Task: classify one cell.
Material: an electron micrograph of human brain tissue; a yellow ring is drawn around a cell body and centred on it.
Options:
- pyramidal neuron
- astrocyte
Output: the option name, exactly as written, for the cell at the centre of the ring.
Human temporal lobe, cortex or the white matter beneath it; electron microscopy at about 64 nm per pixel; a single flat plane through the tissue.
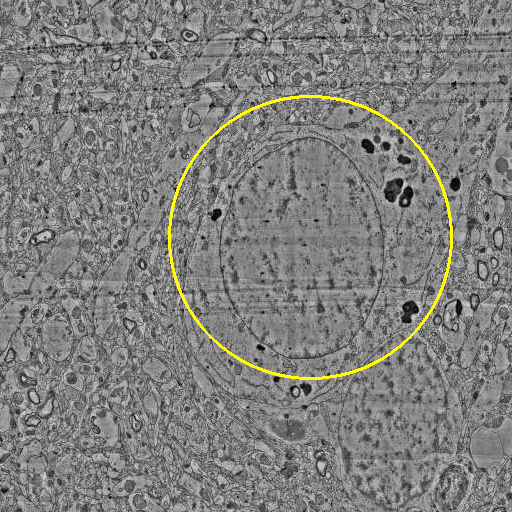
pyramidal neuron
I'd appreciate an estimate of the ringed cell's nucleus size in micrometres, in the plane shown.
The ringed cell's nucleus measures approximately 14 by 11 micrometres in this plane.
